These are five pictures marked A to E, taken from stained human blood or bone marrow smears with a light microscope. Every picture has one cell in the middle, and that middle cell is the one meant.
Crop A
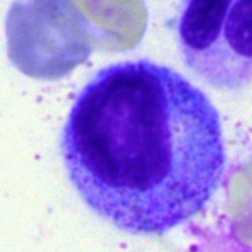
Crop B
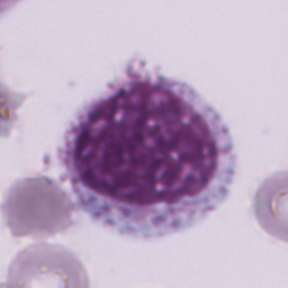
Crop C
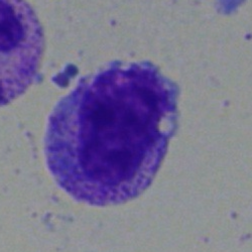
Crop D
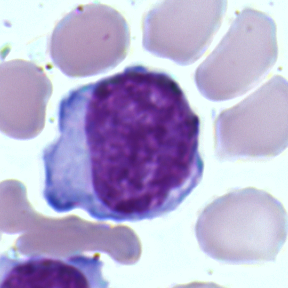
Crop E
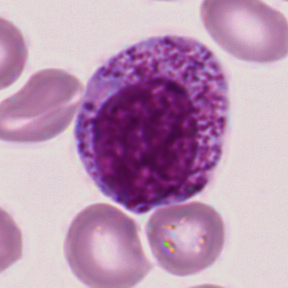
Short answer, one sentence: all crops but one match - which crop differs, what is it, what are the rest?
Crop D differs from the others in showing a plasma cell; the rest all show myelocytes.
